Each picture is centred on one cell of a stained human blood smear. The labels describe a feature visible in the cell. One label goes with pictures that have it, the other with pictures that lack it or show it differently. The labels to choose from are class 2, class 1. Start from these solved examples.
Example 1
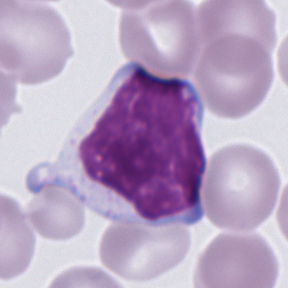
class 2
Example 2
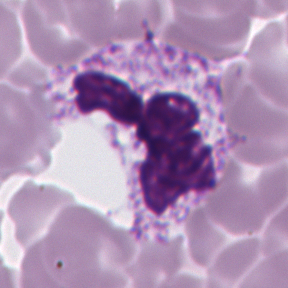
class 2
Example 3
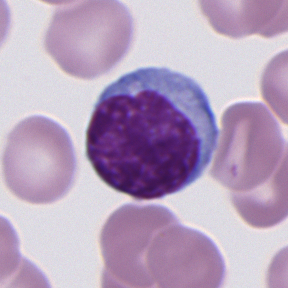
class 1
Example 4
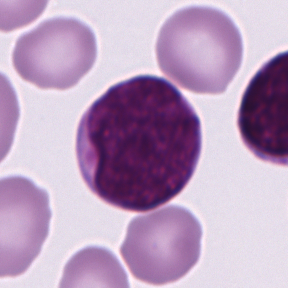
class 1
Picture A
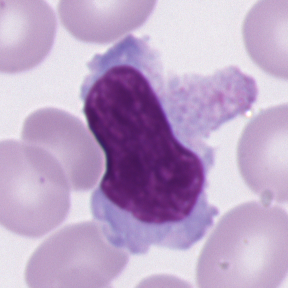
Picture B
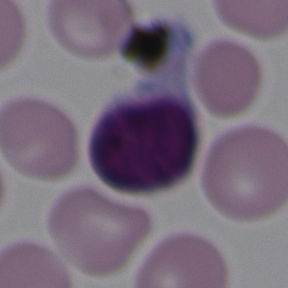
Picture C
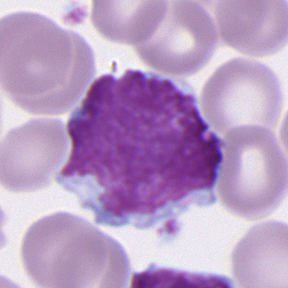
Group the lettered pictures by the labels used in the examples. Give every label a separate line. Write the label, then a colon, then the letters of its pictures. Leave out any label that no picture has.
class 2: A, B, C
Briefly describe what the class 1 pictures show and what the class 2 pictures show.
class 1, smooth outline; class 2, ragged outline or projections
